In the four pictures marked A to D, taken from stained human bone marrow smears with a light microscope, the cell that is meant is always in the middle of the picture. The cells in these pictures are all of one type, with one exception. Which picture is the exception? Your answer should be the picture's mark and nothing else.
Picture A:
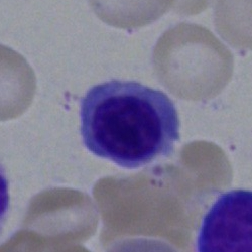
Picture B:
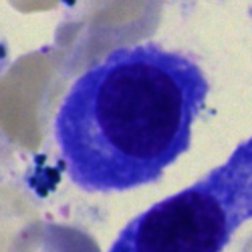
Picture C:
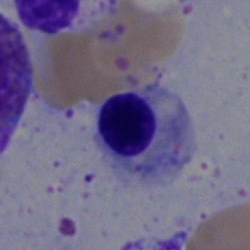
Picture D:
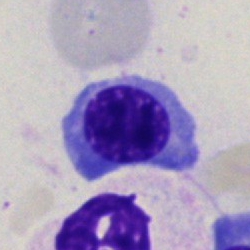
B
